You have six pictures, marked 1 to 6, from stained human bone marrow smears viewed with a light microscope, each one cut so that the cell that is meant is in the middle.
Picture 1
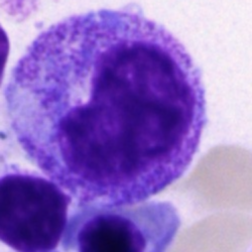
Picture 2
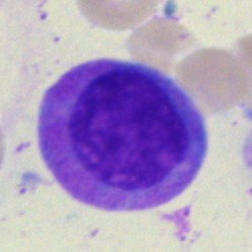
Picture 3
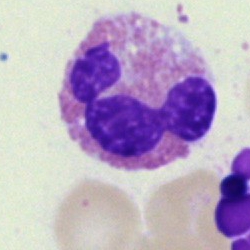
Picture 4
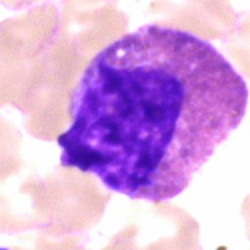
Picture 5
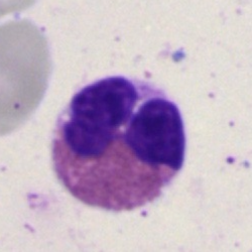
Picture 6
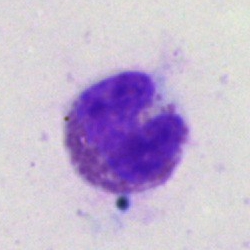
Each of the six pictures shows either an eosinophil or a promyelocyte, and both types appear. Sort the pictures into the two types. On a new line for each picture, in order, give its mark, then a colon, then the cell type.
1: promyelocyte
2: promyelocyte
3: eosinophil
4: eosinophil
5: eosinophil
6: eosinophil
